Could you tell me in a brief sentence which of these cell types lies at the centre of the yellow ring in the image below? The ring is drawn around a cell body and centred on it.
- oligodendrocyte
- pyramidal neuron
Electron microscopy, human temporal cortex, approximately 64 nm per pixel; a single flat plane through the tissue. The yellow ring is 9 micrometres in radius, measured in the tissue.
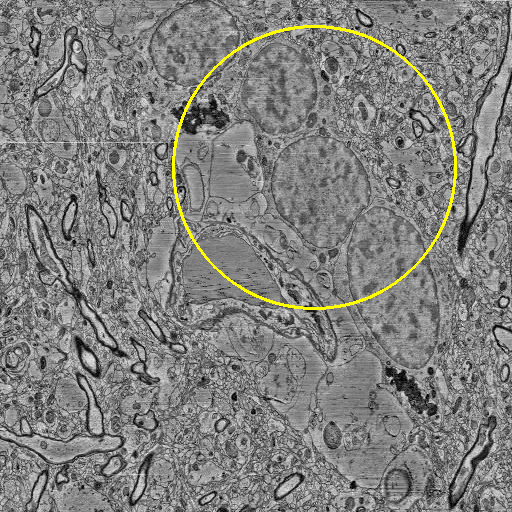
The cell centred in the ring is an oligodendrocyte.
